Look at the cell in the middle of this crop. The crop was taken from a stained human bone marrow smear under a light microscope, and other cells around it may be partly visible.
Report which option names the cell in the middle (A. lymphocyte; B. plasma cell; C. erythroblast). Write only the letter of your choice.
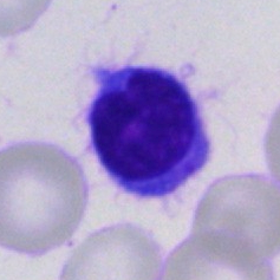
A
